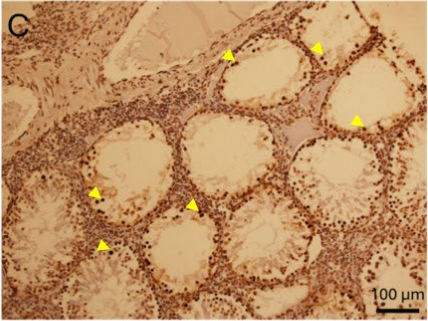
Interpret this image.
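This is testis with seminiferous tubules in cross section, but they look quite unlike the normal tubule. The germinal epithelium is thin, often only a rim of one or a few layers of nuclei along the tubule's edge, and the large lumina are mostly empty, holding only pale, smooth material instead of the spoke-like threads of a full tubule. Between the tubules the interstitial tissue is broad and crowded with many small dark nuclei. Arrowheads point to darker cells sitting at the edge of the tubules, within the thinned germ cell layer.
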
